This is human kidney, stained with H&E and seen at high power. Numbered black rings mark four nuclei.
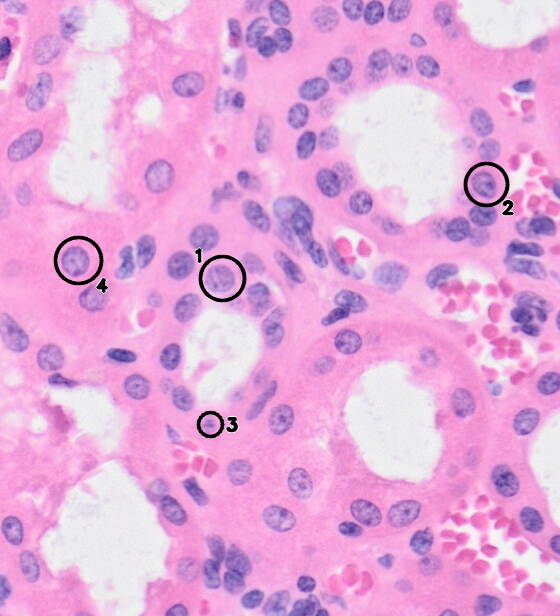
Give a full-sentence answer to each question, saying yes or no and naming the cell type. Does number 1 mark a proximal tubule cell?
No, the cell numbered 1 is a collecting duct cell rather than a proximal tubule cell.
